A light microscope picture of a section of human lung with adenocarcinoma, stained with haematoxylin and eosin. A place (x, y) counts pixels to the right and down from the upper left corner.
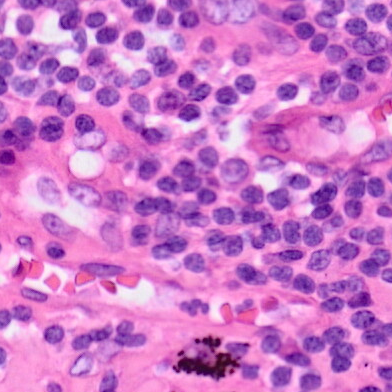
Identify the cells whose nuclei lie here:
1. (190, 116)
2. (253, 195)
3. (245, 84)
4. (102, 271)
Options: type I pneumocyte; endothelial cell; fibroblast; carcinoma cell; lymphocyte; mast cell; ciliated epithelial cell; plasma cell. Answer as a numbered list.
1. lymphocyte
2. lymphocyte
3. lymphocyte
4. endothelial cell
